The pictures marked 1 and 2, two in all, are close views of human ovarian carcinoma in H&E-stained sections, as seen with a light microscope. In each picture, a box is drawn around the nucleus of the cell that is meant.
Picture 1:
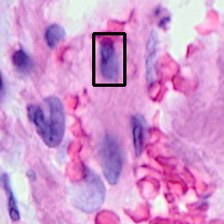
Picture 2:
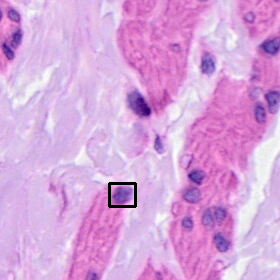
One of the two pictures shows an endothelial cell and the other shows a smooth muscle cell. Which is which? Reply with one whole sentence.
It is picture 1 that shows an endothelial cell, and picture 2 that shows a smooth muscle cell.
